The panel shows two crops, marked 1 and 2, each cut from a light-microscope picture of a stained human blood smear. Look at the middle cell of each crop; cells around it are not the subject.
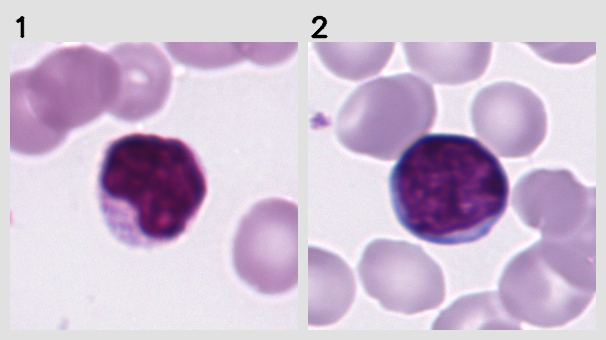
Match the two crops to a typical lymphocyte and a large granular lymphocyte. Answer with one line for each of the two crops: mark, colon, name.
1: large granular lymphocyte
2: typical lymphocyte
